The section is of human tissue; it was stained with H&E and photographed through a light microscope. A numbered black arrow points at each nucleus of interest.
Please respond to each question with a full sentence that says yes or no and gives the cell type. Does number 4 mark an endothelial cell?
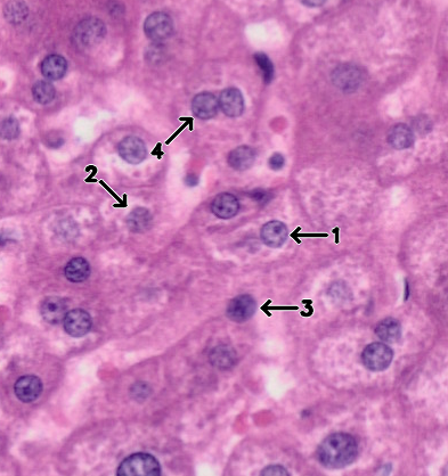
No, cell 4 does not count as an endothelial cell; it is a hepatocyte.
